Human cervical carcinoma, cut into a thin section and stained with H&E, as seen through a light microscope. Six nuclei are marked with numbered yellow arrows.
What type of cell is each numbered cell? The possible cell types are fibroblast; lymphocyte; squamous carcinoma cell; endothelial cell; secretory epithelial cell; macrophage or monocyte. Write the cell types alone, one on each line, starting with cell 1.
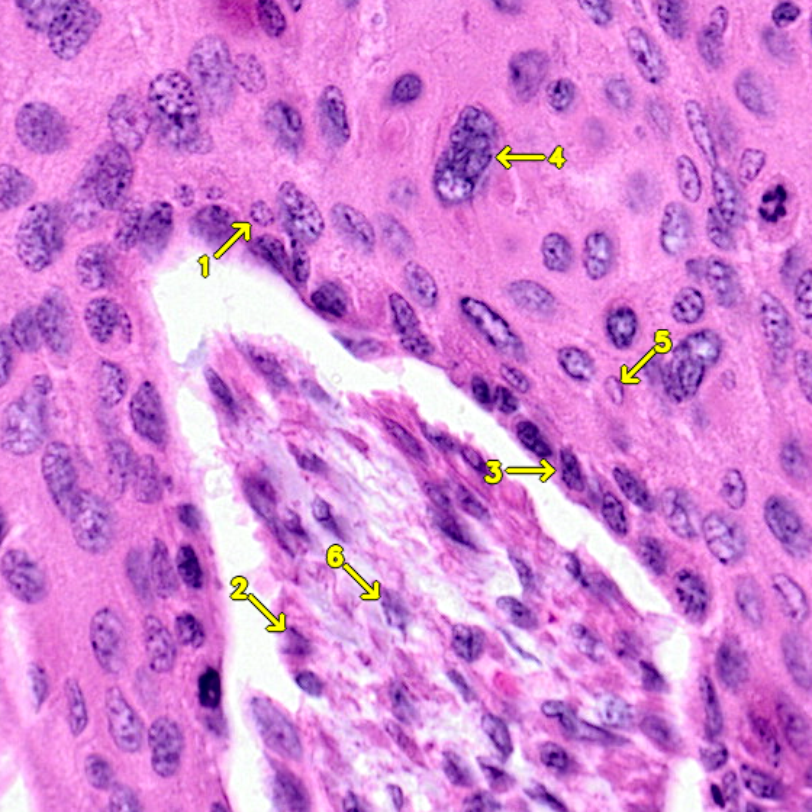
squamous carcinoma cell
macrophage or monocyte
squamous carcinoma cell
squamous carcinoma cell
squamous carcinoma cell
fibroblast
